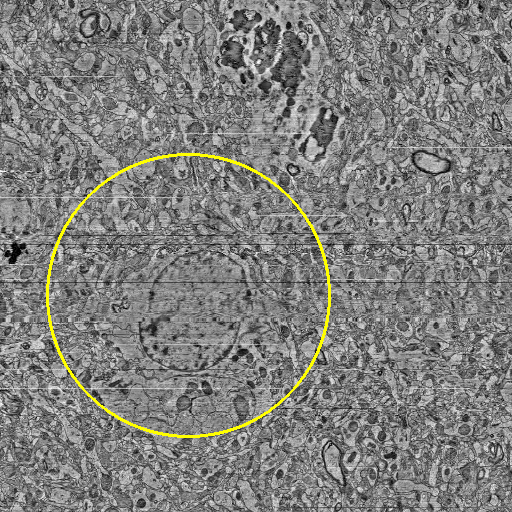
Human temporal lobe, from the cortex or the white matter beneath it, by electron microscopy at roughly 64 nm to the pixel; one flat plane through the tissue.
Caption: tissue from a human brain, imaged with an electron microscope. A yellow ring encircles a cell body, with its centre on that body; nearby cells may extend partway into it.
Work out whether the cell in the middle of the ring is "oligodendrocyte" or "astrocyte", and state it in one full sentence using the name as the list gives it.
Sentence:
In the picture, the cell that the yellow ring surrounds at its centre is an astrocyte.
